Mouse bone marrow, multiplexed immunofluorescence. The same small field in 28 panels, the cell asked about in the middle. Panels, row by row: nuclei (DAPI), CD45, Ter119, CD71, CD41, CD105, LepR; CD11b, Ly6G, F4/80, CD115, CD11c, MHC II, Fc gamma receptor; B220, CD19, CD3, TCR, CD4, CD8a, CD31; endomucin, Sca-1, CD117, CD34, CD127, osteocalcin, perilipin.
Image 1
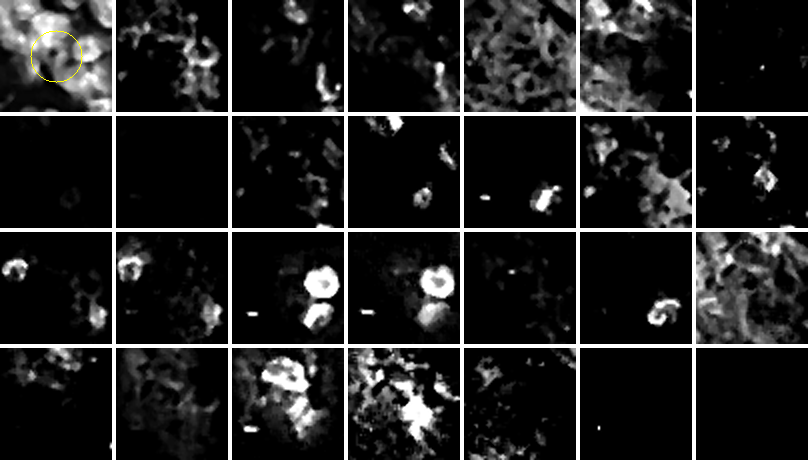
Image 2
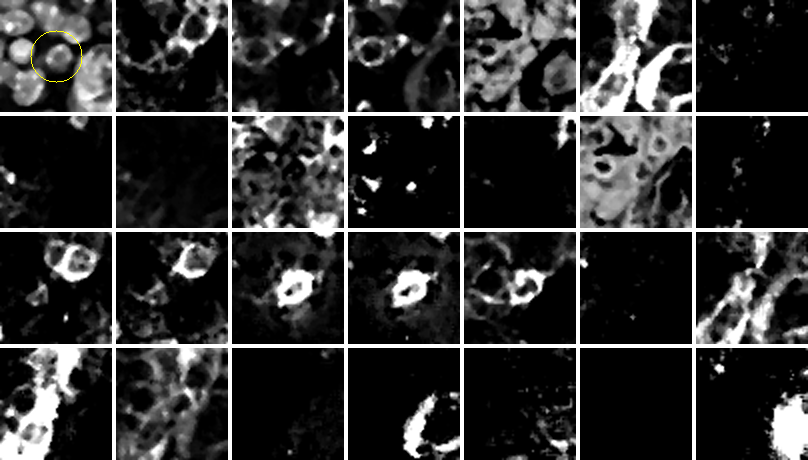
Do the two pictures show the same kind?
No: a granulocyte-monocyte progenitor, then a CD4 T cell.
